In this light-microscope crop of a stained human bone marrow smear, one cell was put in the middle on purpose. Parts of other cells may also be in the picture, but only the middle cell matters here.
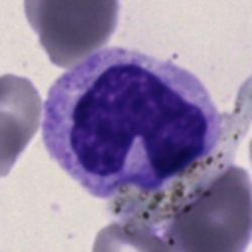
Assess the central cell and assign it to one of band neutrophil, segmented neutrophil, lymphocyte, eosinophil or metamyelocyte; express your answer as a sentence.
The cell nearest the centre of this crop is a band neutrophil.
